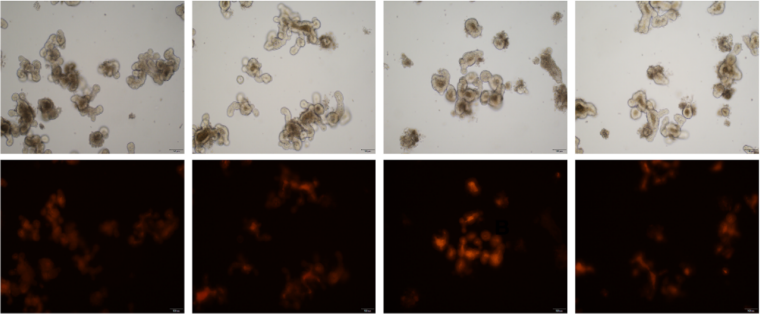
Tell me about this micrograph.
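The lower row shows matching fields in fluorescence, where the organoids glow orange-red against a dark background. The brightness of the orange-red glow differs from field to field.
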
